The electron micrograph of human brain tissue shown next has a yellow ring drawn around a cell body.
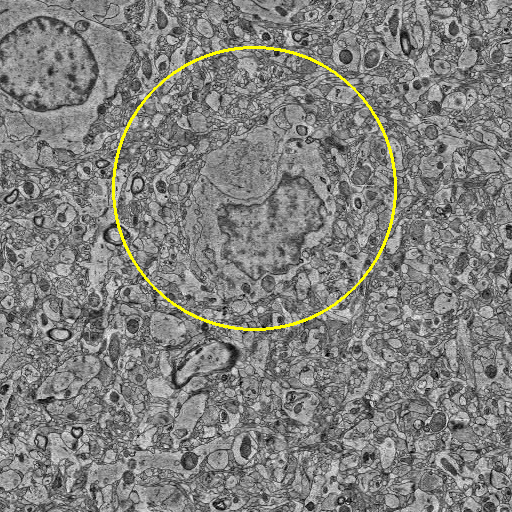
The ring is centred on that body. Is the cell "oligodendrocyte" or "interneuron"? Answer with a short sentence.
The cell in question is an interneuron.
